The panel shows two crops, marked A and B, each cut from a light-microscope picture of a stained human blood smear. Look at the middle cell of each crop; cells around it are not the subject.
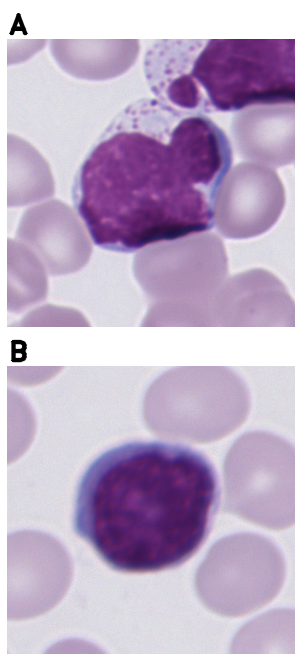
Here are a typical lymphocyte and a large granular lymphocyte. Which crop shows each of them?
A: large granular lymphocyte
B: typical lymphocyte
